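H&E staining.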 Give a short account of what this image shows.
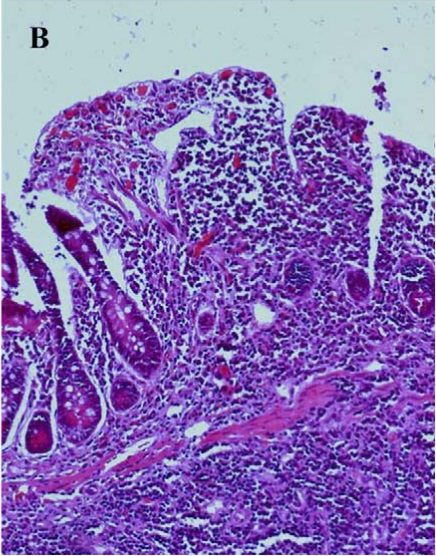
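A few villi with columnar epithelium and goblet cells remain on the left, but to the right the villi are blunted and fused, and the surface lining is largely lost. The lamina propria and the deeper tissue are crowded with dense sheets of small cells with dark round nuclei, an inflammatory infiltrate that obscures the normal layers. Only scattered crypts survive amid the infiltrate. Congested small vessels with red blood cells lie near the surface, and a few pink bands of fibrous or muscle tissue cross the deeper infiltrate.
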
